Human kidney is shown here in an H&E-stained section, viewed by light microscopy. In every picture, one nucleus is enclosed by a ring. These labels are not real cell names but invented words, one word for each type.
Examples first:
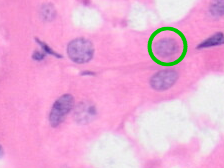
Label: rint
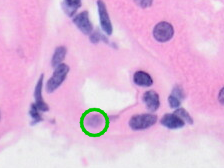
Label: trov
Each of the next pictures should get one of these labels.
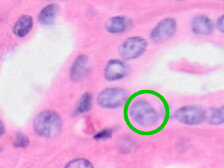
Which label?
trov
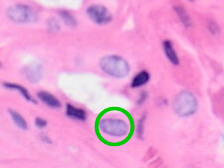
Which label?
trov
